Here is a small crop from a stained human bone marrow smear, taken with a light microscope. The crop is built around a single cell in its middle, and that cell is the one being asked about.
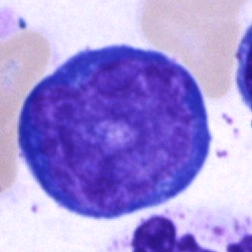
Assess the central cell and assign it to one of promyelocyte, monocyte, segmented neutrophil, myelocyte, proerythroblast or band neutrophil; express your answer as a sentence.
The cell under consideration, at the middle of the crop, is a proerythroblast.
